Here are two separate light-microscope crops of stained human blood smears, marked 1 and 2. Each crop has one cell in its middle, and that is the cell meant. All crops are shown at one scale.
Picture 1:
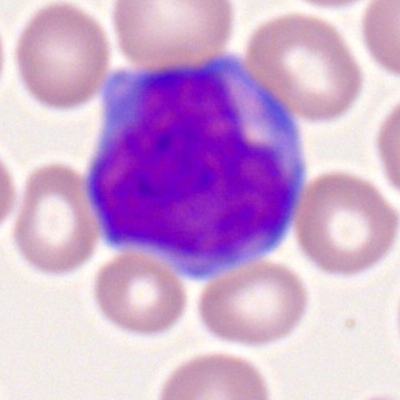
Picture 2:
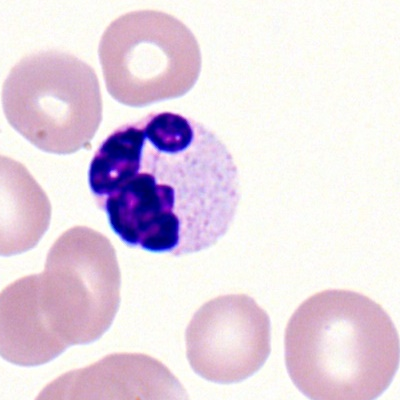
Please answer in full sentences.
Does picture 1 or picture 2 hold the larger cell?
The cell in picture 1 is larger, with about 2 times the area of the one in picture 2.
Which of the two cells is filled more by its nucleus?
Of the two, the nucleus in picture 1 makes up the greater part of its cell.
